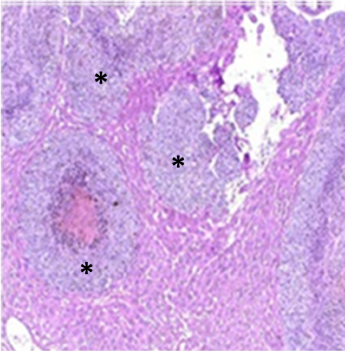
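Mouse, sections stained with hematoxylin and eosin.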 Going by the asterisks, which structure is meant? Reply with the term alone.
Tumor lesions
